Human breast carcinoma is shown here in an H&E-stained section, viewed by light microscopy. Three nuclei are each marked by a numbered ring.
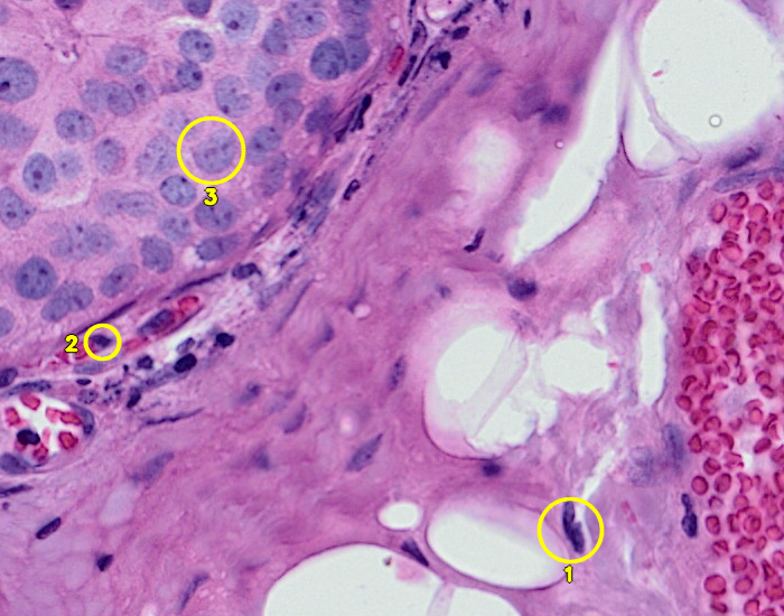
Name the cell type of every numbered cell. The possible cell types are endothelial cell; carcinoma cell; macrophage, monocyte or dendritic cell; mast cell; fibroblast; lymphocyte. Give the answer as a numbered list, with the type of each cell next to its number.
1. fibroblast
2. endothelial cell
3. carcinoma cell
